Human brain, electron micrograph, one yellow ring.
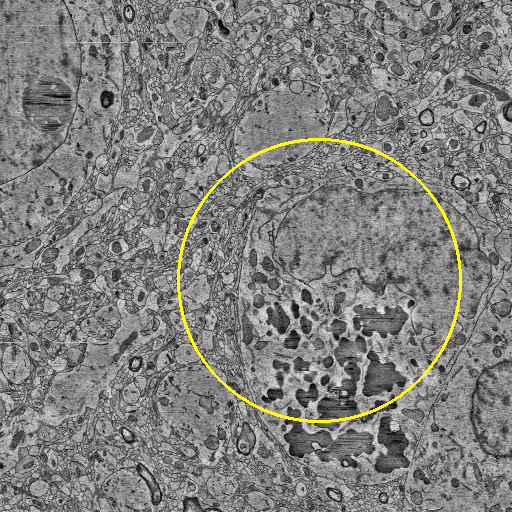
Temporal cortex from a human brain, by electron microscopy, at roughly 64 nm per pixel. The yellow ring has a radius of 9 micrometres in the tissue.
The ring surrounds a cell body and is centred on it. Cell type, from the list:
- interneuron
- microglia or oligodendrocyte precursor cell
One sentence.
The yellow ring circles an interneuron.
